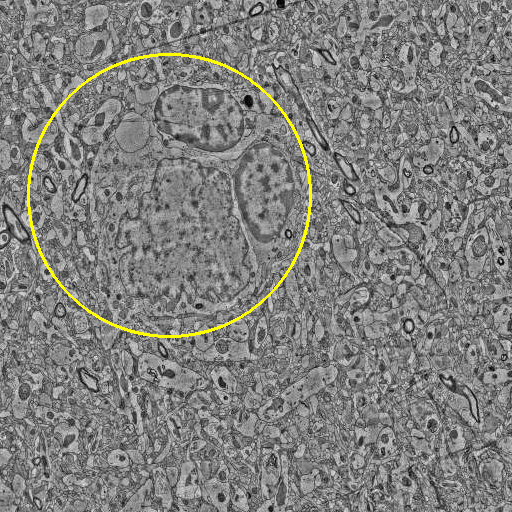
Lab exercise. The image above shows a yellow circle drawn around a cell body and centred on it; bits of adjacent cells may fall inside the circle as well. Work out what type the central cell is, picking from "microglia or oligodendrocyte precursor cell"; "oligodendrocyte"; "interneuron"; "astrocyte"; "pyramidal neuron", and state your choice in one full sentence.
In the image above, the cell at the centre of the yellow circle is an interneuron.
